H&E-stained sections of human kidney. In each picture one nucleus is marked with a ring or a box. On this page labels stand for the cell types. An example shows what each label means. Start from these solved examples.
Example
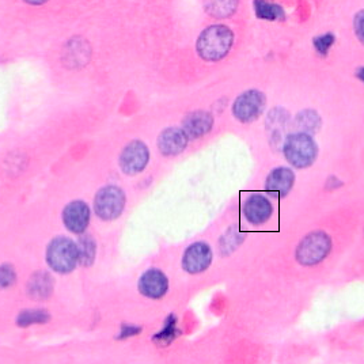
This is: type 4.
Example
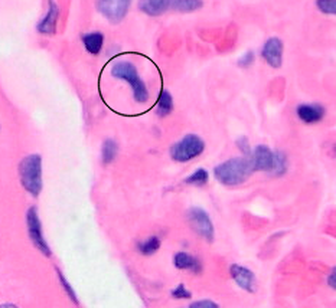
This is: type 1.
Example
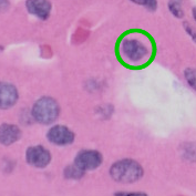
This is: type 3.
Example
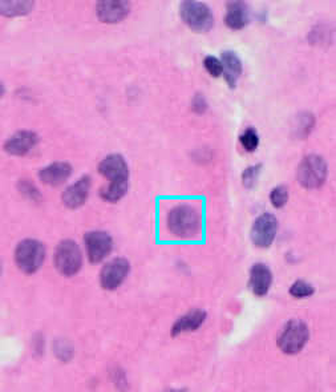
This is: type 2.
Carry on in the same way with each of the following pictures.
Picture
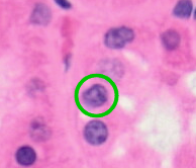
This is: type 2.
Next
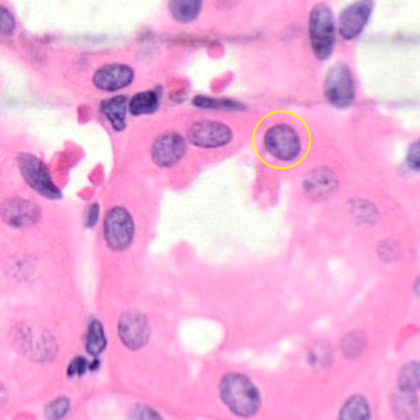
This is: type 2.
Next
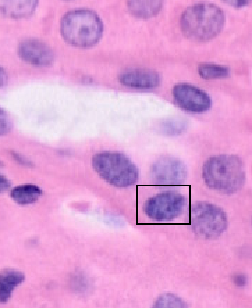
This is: type 4.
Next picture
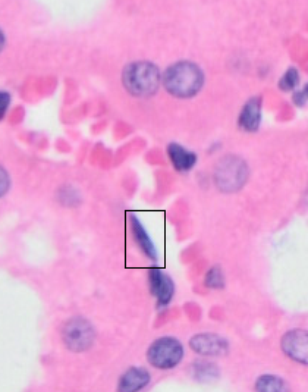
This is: type 1.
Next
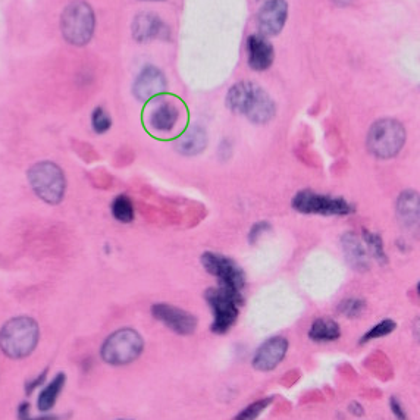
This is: type 4.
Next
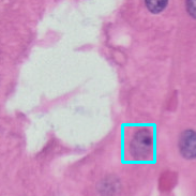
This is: type 2.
